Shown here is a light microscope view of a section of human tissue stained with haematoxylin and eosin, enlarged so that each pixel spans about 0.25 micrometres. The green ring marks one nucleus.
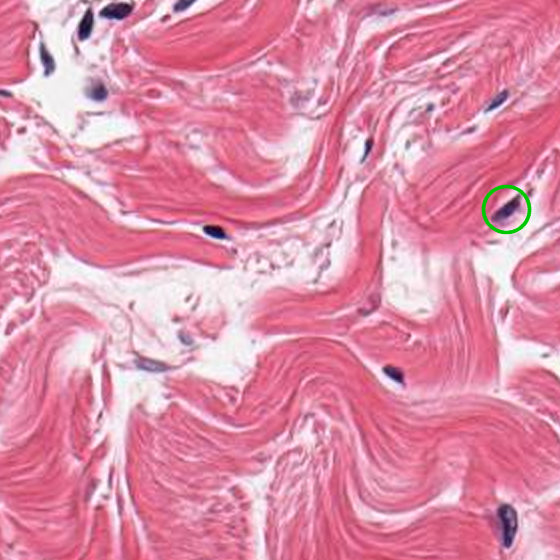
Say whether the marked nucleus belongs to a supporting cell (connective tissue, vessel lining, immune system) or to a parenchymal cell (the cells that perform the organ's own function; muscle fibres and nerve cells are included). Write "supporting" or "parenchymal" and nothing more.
supporting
